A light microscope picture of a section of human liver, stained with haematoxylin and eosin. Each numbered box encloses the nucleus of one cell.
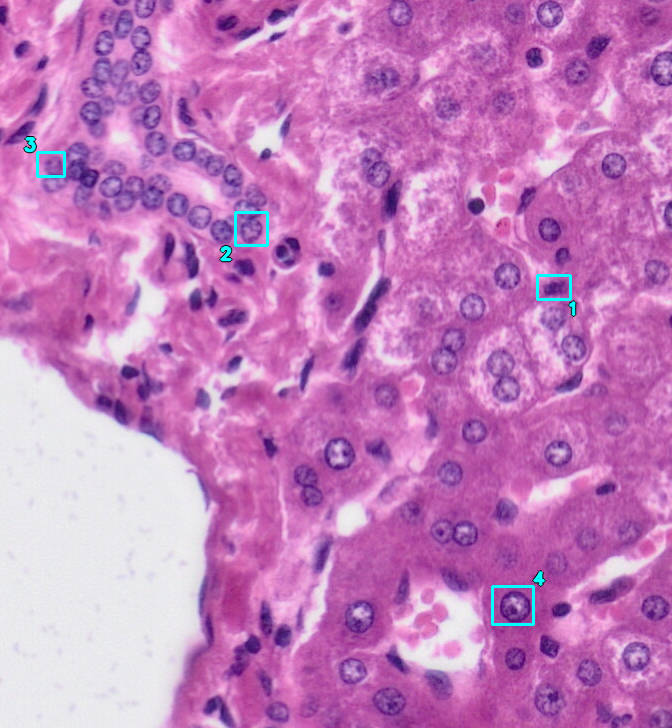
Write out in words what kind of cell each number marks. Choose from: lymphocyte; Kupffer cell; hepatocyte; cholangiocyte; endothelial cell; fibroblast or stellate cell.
Cell 1 is a fibroblast or stellate cell. Cells 2 and 3 are cholangiocytes. Cell 4 is a hepatocyte.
